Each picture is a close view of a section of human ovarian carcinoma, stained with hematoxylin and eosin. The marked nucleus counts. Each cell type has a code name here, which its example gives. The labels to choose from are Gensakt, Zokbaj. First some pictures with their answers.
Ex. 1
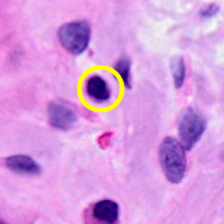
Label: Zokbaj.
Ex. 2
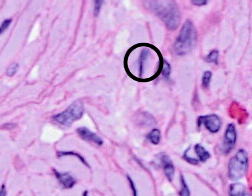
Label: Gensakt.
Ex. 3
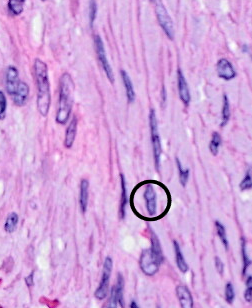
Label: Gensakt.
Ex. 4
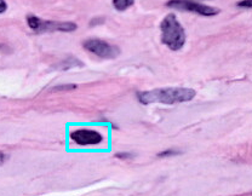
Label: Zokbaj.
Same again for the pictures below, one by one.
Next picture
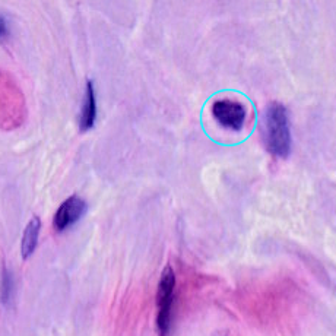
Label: Zokbaj.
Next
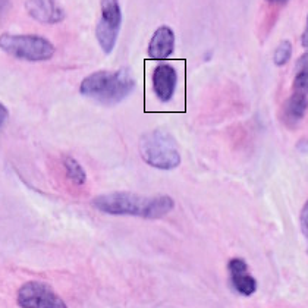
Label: Zokbaj.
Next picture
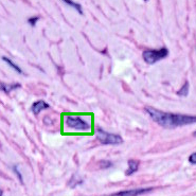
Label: Gensakt.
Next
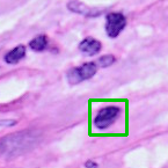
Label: Zokbaj.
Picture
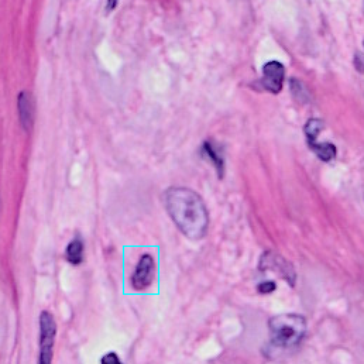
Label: Zokbaj.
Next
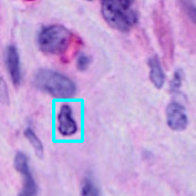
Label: Zokbaj.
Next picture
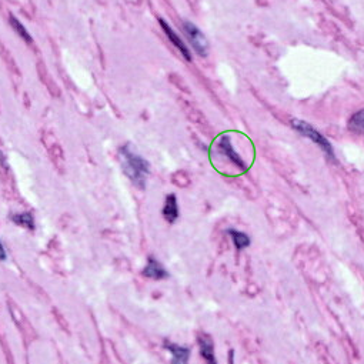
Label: Gensakt.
